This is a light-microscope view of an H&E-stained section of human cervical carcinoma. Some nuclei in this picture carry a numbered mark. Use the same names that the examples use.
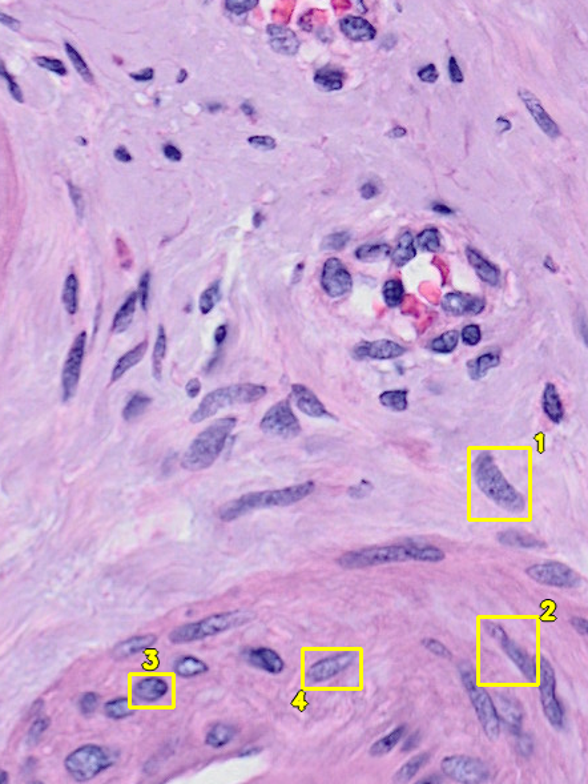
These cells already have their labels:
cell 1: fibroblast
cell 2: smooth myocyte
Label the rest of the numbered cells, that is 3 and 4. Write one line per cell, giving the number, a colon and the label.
3: smooth myocyte
4: smooth myocyte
